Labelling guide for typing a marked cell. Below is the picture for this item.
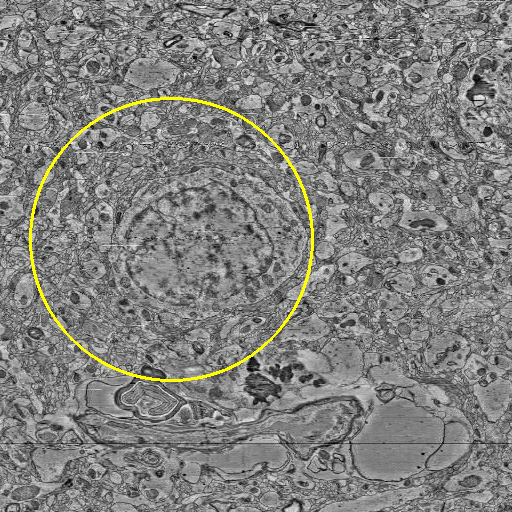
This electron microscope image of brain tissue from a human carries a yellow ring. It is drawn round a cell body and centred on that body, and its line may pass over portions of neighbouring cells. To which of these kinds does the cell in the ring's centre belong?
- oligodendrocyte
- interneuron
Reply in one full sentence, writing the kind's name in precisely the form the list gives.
Here we have an interneuron at the centre of the yellow ring in the picture.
